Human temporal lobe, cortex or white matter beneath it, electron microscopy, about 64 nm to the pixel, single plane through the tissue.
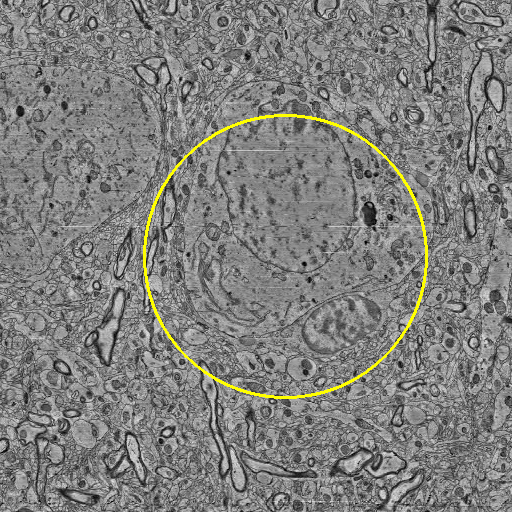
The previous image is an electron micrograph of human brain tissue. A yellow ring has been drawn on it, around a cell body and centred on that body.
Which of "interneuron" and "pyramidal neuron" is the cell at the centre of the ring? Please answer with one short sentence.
The cell body at the centre of the ring belongs to a pyramidal neuron.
